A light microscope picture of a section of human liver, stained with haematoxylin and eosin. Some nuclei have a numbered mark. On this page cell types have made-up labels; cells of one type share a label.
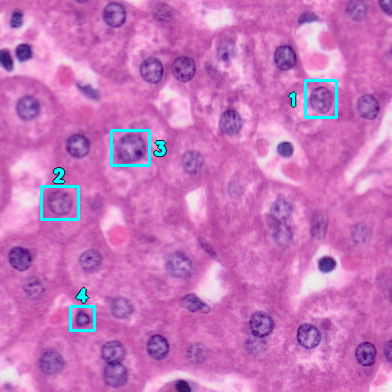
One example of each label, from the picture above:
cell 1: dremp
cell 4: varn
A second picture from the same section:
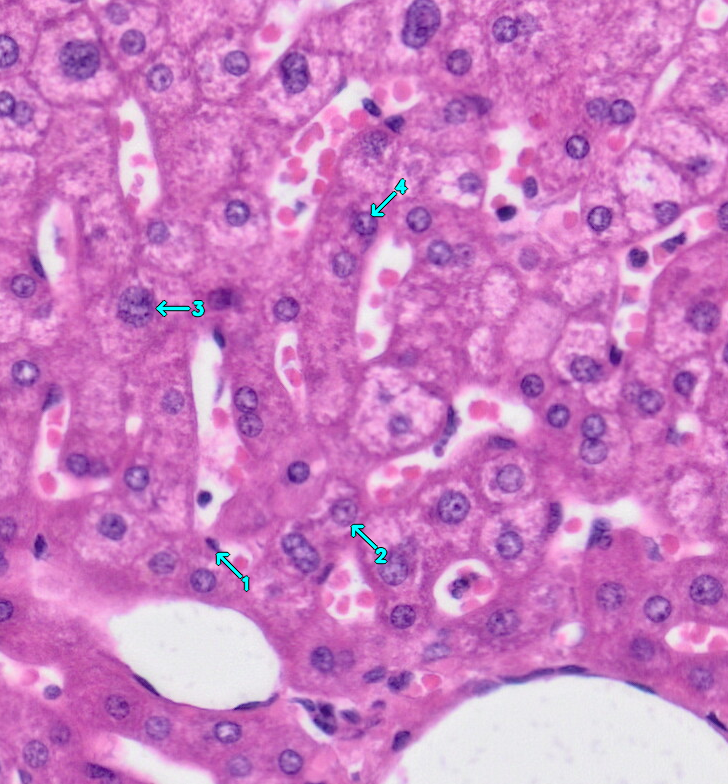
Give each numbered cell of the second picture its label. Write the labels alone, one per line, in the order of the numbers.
varn
dremp
dremp
dremp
